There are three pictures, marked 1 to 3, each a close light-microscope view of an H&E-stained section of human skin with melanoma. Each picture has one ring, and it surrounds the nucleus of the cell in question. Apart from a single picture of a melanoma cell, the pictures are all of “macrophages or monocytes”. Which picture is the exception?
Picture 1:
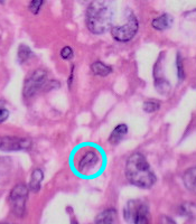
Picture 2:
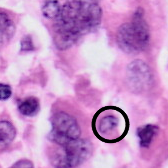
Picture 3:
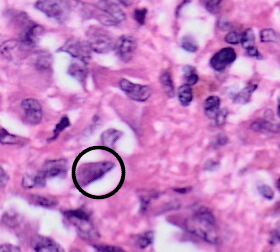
3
